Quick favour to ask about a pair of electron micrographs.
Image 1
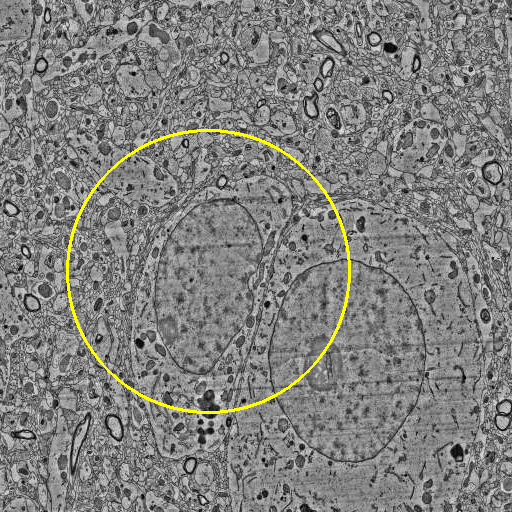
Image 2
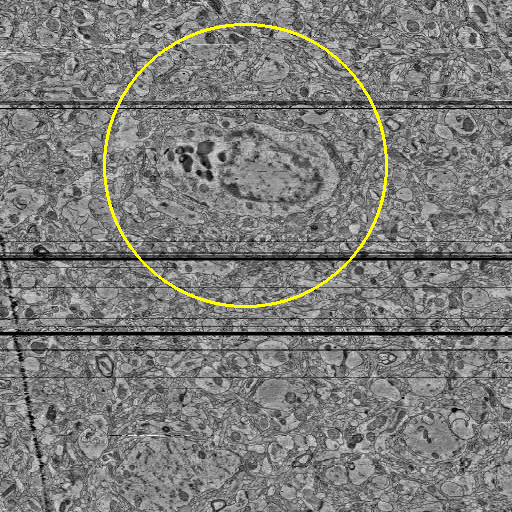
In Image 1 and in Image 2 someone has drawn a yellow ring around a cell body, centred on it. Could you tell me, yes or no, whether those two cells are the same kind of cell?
yes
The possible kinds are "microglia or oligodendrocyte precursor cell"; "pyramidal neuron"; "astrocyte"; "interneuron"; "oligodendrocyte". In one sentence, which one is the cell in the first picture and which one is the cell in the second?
Each of the two cells is an interneuron.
